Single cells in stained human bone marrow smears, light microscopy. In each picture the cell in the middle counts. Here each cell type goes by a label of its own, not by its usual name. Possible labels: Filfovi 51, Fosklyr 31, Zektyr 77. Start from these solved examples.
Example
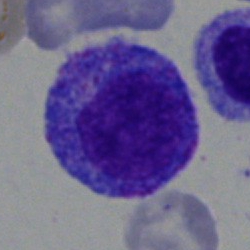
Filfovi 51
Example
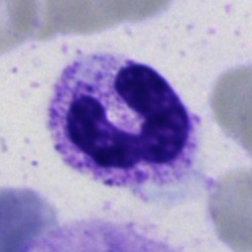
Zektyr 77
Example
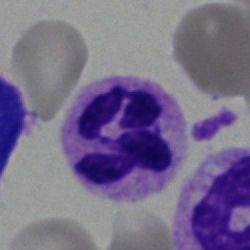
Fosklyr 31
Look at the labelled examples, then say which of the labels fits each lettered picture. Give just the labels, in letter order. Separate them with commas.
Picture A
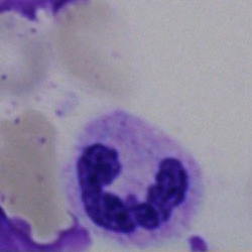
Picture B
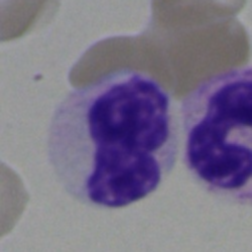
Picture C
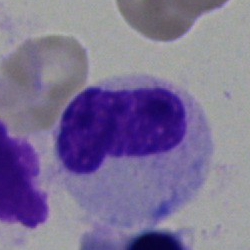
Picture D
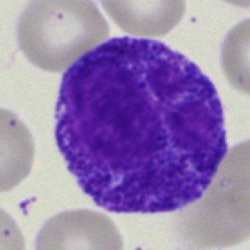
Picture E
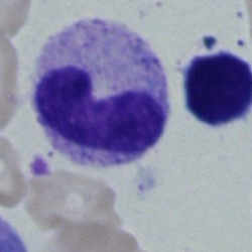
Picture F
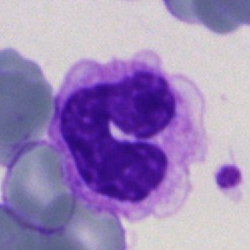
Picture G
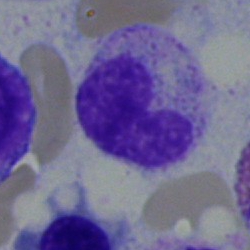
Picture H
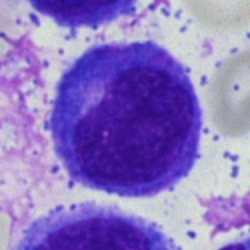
Fosklyr 31, Zektyr 77, Zektyr 77, Filfovi 51, Zektyr 77, Zektyr 77, Zektyr 77, Filfovi 51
